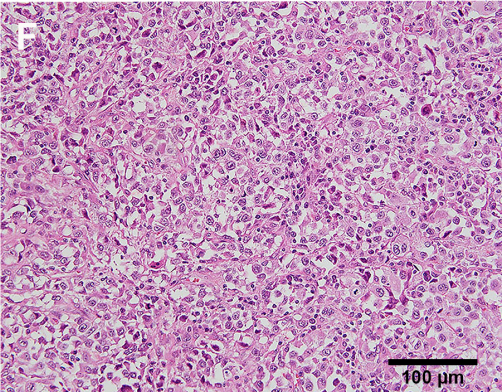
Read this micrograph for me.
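This tumour consists of epithelioid tumor cells growing in diffuse sheets. The cells are polygonal to rounded, loosely cohesive, with fairly distinct borders and moderate amounts of pale pink to clear cytoplasm. Their nuclei are round to oval, vary in size, and many have vesicular chromatin and visible nucleoli. There is no gland formation, no pigment and no orderly architecture; thin strands of pink stroma run between the cells. Occasional small dark inflammatory cells are scattered among the tumour cells.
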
